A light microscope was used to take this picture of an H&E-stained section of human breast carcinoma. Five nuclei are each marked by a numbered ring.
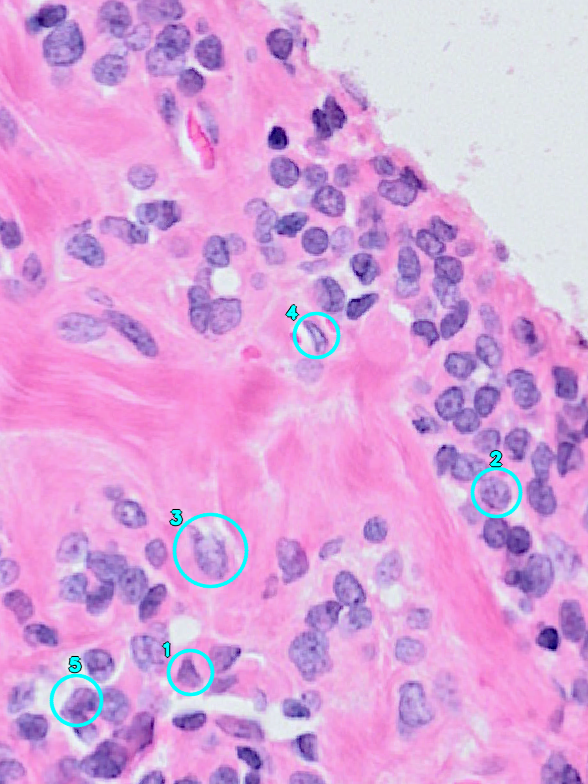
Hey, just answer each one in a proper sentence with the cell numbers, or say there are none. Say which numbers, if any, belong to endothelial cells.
Among the marked cells, cell number 4 alone is an endothelial cell.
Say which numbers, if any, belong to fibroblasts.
Whereas cell 3 is a fibroblast, the other numbered cells are not.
